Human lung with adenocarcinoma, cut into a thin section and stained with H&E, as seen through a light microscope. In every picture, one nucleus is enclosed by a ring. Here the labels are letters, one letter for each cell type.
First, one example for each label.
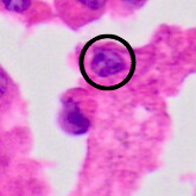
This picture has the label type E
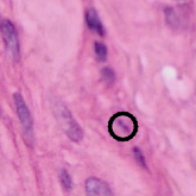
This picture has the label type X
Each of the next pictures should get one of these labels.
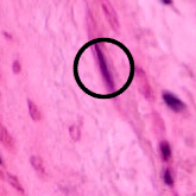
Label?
type X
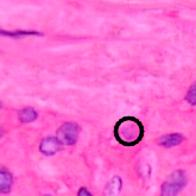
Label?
type X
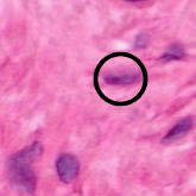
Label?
type X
